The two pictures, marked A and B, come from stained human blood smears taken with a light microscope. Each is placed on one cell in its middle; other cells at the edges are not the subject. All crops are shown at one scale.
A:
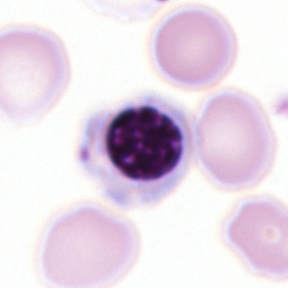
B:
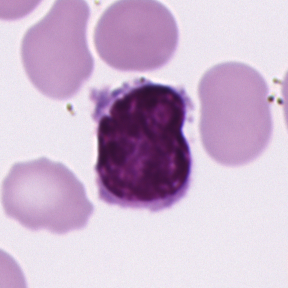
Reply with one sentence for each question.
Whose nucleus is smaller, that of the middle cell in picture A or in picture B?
The nucleus in picture A is smaller; the one in picture B has about 2 times its area.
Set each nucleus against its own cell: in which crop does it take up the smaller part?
In picture A the nucleus takes up the smaller part of its cell.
